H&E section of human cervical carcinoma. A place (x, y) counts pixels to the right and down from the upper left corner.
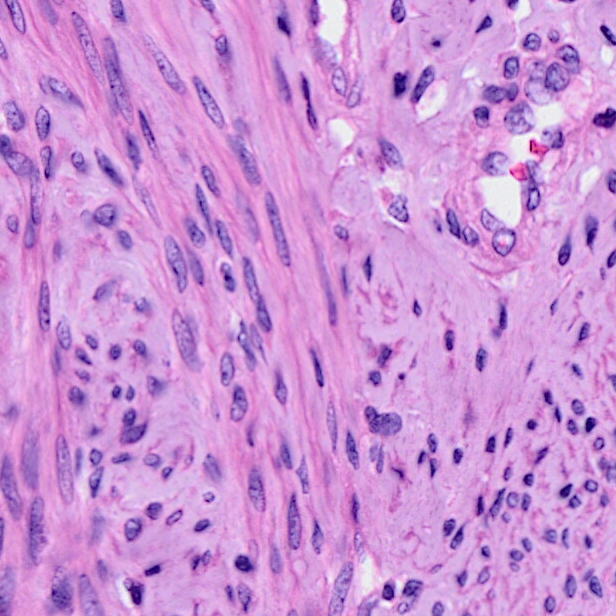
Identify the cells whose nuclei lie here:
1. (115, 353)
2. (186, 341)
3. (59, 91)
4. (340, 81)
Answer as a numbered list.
1. smooth muscle cell
2. smooth muscle cell
3. smooth muscle cell
4. endothelial cell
